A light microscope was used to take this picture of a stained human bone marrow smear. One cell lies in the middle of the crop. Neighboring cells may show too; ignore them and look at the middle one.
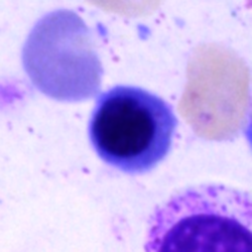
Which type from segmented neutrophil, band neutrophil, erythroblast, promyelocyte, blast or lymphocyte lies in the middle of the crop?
erythroblast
